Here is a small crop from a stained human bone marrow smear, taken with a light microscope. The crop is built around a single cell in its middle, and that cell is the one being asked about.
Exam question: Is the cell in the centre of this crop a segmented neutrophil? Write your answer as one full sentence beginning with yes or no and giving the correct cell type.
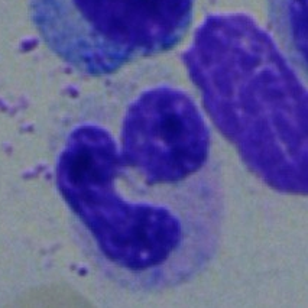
Yes, the cell shown centrally is a segmented neutrophil.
